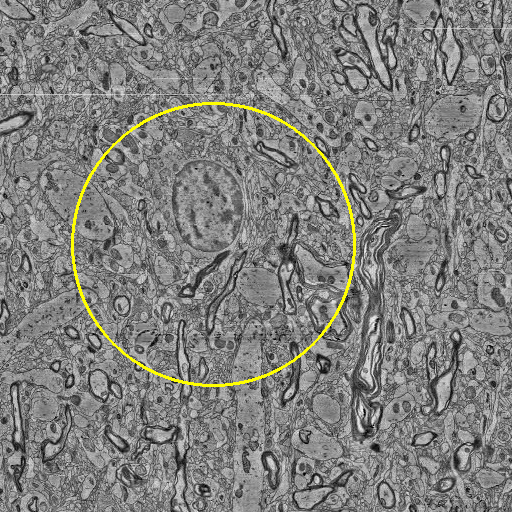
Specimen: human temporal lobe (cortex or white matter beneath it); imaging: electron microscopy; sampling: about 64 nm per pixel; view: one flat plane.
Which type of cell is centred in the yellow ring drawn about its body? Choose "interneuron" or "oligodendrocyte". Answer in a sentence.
The yellow ring surrounds the cell body of an oligodendrocyte.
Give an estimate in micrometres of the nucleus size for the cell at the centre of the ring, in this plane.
The ringed cell's nucleus measures approximately 6 by 4 micrometres in this plane.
